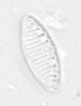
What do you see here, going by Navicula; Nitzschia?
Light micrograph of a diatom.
I see Nitzschia.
